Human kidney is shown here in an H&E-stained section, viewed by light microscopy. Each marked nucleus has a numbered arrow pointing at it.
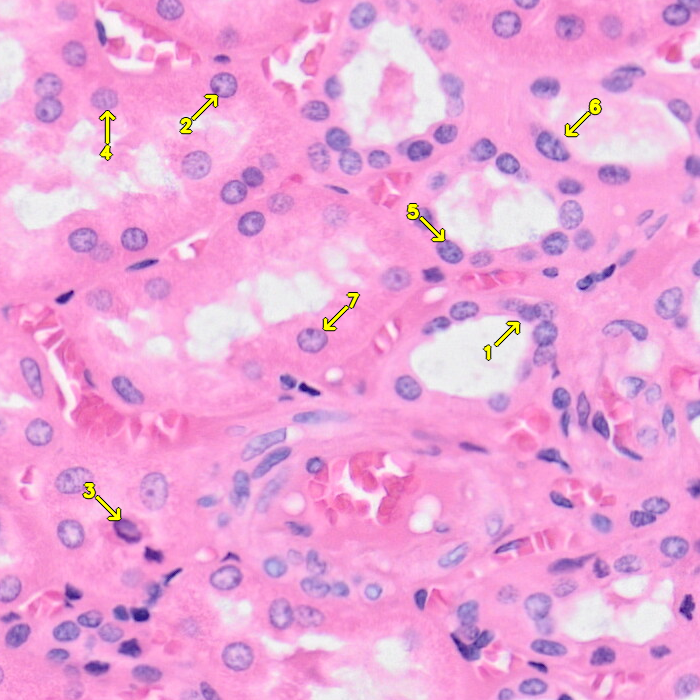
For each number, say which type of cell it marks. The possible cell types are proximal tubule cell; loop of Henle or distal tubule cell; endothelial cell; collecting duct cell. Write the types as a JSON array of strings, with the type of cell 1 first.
["collecting duct cell", "proximal tubule cell", "proximal tubule cell", "proximal tubule cell", "loop of Henle or distal tubule cell", "collecting duct cell", "proximal tubule cell"]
